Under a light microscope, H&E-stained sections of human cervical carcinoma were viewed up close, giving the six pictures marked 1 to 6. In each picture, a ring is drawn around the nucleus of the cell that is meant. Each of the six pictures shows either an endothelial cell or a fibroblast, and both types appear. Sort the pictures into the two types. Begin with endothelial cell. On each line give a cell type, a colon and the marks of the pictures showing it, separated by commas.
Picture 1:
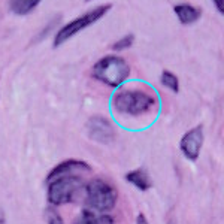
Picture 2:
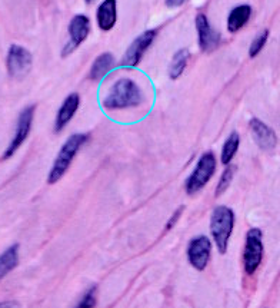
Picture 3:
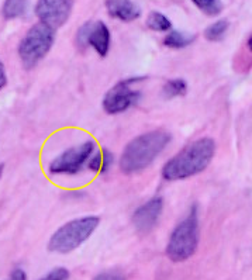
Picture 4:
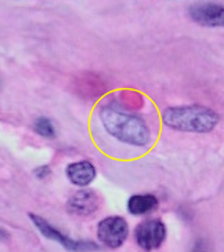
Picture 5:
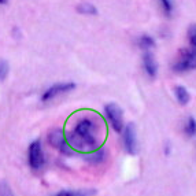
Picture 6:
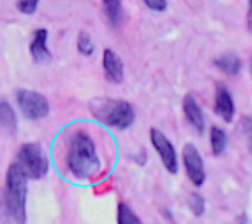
endothelial cell: 1, 4, 5, 6
fibroblast: 2, 3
